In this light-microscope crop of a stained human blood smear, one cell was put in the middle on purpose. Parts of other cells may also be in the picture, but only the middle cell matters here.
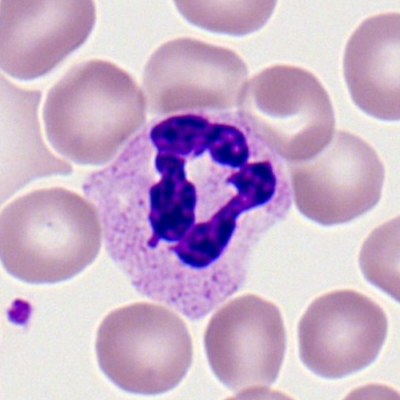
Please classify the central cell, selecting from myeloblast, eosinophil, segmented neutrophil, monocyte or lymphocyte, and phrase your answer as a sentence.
The identification for the central cell is a segmented neutrophil.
